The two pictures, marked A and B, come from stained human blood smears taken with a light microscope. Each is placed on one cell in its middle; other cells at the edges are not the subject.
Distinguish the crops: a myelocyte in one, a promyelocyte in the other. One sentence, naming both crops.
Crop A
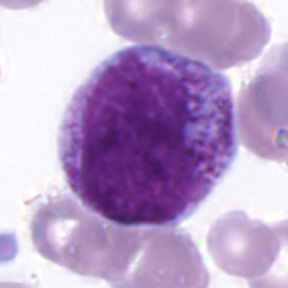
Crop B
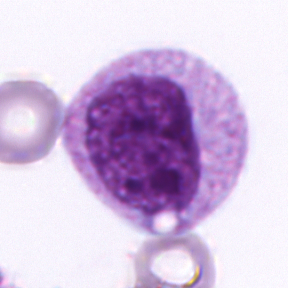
Crop A features a promyelocyte, while crop B features a myelocyte.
